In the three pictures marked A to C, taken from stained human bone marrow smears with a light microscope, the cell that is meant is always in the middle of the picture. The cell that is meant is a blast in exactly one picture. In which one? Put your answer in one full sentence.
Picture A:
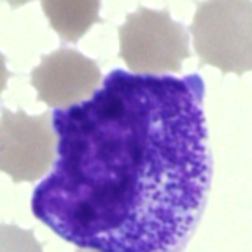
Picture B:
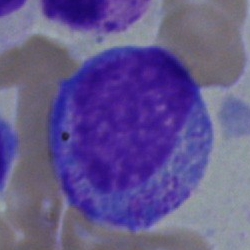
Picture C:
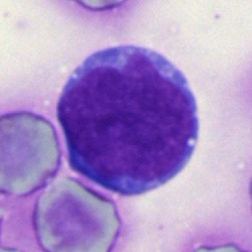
The blast is the one in picture C.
